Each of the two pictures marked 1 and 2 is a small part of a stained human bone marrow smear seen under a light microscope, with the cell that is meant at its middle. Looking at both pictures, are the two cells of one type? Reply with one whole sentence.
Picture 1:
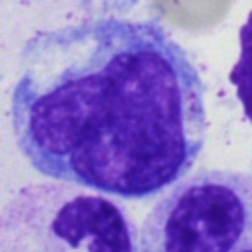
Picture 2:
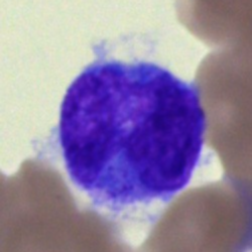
Yes, both are monocytes.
